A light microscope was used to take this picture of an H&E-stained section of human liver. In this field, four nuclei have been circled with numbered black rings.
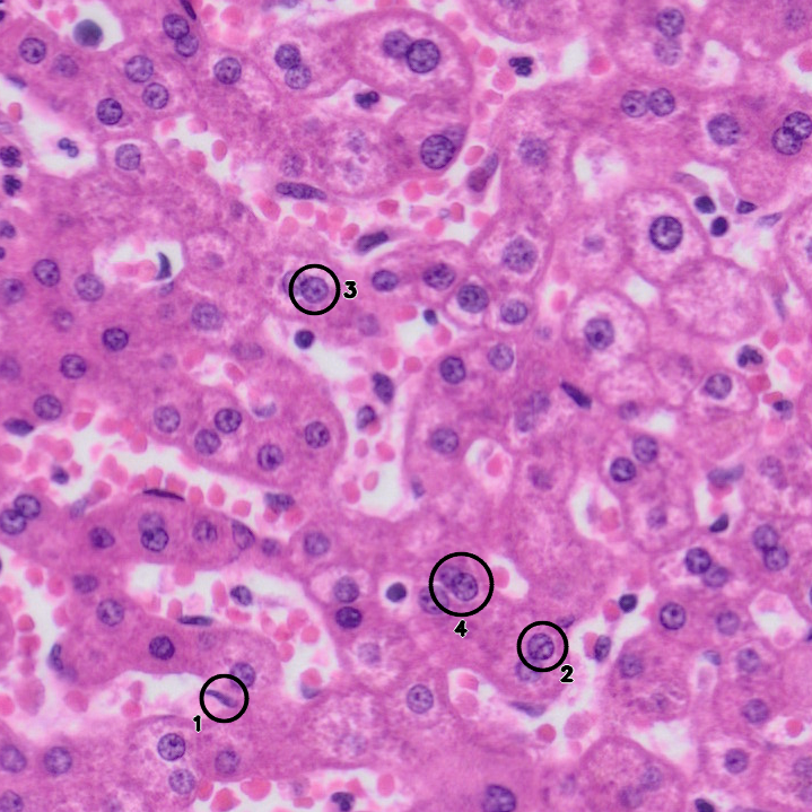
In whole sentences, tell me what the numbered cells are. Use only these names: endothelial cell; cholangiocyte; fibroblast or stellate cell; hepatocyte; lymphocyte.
Cell 1 is an endothelial cell. Cells 2, 3 and 4 are hepatocytes.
